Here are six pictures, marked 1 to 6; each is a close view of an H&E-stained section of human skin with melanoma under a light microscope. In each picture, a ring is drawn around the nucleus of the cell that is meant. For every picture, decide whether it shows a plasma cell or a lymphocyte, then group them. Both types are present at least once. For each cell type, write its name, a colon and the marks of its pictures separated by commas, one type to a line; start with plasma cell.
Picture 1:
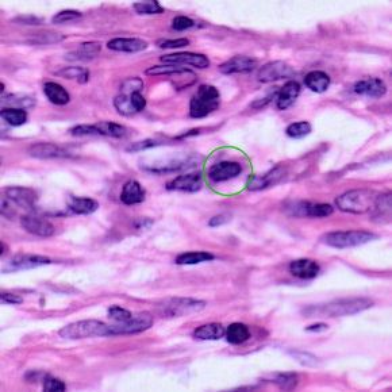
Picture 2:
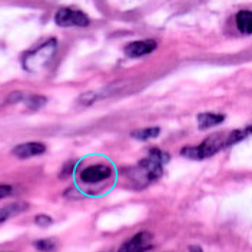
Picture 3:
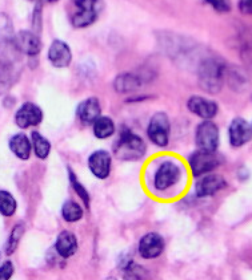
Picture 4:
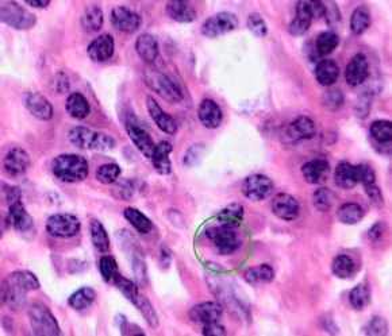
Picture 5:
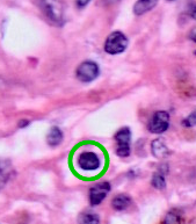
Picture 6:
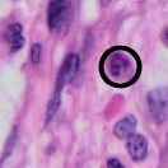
plasma cell: 1, 2, 4, 6
lymphocyte: 3, 5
